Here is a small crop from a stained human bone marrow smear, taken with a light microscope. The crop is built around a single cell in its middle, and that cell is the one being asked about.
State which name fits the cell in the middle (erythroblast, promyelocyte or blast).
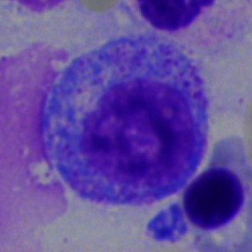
promyelocyte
